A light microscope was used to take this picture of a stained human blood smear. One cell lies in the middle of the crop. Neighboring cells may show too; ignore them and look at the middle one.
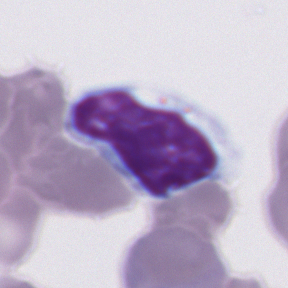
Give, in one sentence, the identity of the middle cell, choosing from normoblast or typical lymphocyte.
Among the cells in view, the one in the middle is a typical lymphocyte.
